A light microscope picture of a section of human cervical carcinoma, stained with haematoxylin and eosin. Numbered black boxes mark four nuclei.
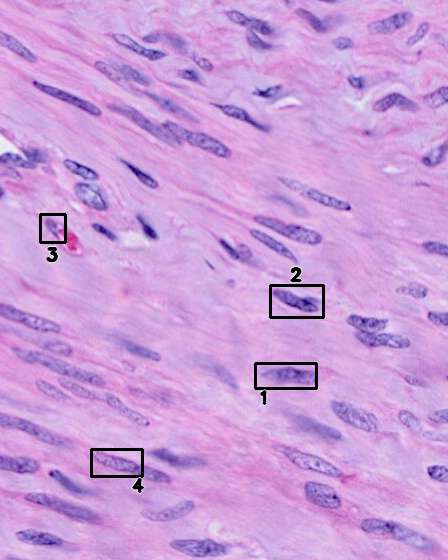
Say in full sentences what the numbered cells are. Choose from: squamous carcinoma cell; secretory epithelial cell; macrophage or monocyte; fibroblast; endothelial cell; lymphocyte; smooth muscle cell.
Cells 1 and 2 are fibroblasts. Cell 3 is an endothelial cell. Cell 4 is a smooth muscle cell.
